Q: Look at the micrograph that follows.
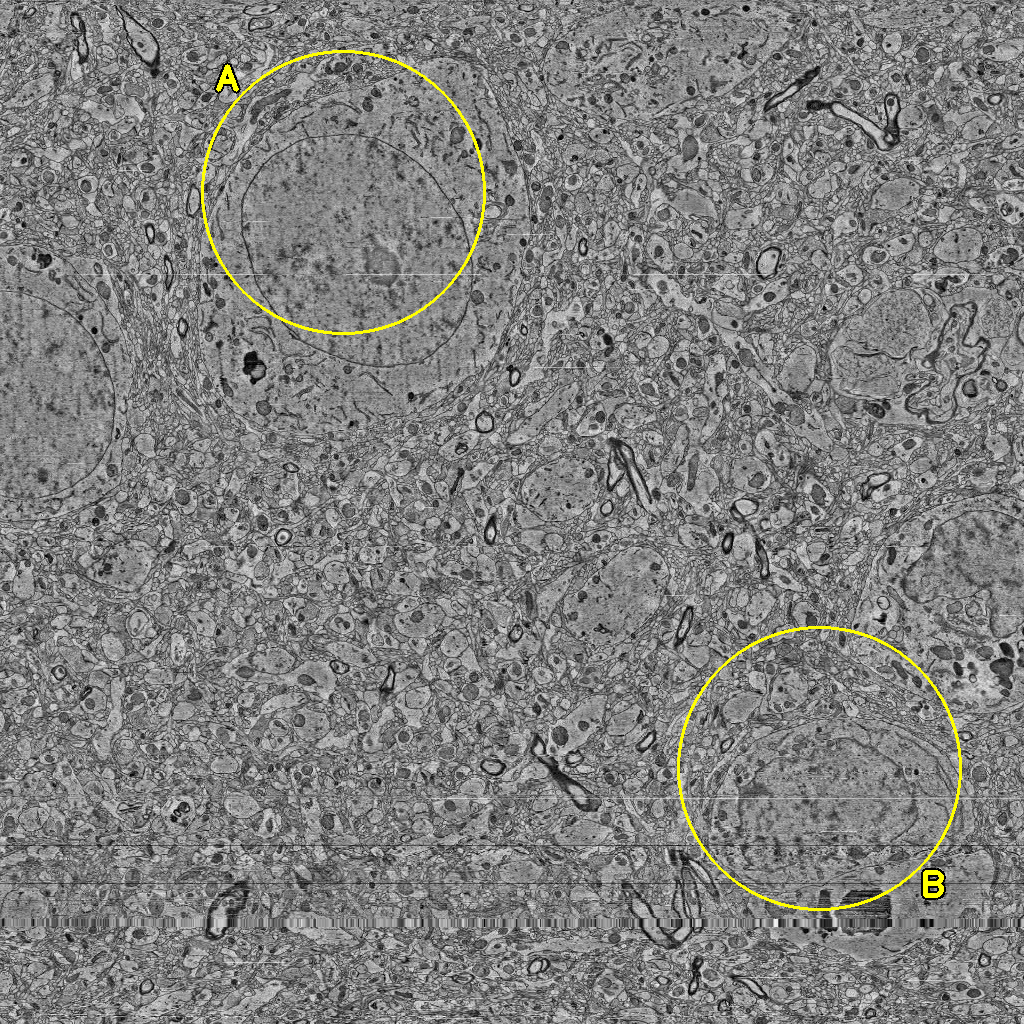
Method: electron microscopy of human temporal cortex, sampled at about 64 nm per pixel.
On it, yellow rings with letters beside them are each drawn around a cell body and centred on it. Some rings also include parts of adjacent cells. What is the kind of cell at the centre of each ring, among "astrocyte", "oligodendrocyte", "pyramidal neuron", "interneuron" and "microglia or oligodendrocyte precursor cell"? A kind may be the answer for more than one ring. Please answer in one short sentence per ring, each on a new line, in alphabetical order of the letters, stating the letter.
Ring A surrounds the cell body of a pyramidal neuron.
Ring B surrounds the cell body of an interneuron.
